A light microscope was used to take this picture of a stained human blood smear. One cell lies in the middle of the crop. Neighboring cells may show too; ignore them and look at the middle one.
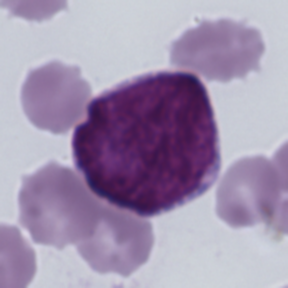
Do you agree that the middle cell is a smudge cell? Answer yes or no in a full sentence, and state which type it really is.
No, what is seen at the centre is a myeloblast instead of a smudge cell.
